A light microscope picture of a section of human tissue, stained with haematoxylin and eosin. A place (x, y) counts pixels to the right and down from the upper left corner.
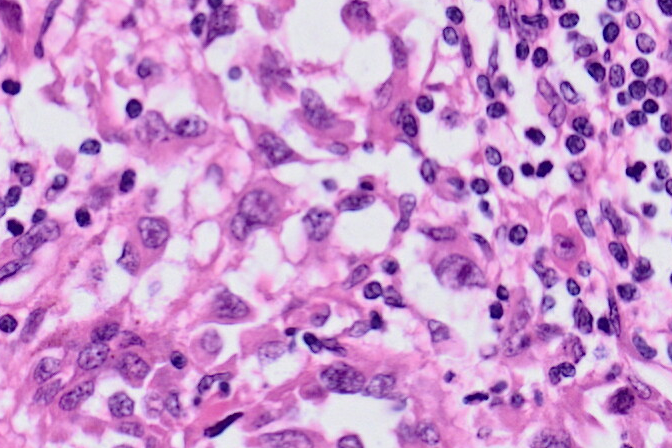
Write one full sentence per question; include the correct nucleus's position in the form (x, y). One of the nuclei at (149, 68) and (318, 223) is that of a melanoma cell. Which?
The pair contains one nucleus of a melanoma cell, namely the one at (318, 223).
